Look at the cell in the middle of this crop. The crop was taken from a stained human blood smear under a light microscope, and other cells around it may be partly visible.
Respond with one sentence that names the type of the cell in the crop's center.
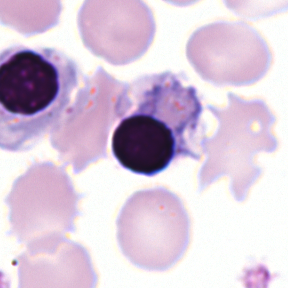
The middle position in this crop is taken by a normoblast.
